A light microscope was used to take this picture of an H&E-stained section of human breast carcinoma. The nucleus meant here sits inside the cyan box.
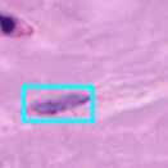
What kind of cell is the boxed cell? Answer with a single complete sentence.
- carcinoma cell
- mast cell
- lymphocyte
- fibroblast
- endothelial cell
The identity of the boxed cell is that of a fibroblast.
